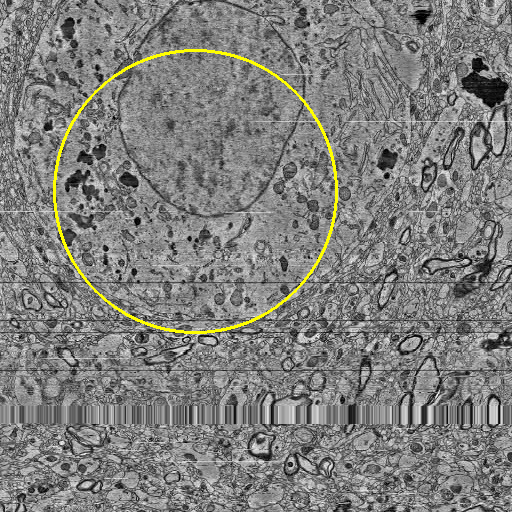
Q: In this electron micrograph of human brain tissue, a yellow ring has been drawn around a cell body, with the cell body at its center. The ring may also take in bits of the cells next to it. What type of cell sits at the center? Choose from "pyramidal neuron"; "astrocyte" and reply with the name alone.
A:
pyramidal neuron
